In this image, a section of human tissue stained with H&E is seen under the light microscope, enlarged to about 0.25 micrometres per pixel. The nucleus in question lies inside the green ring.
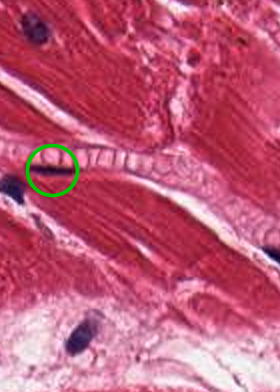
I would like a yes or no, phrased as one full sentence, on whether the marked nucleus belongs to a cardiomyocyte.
No, what the marked nucleus belongs to is a supporting cell, not a cardiomyocyte.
